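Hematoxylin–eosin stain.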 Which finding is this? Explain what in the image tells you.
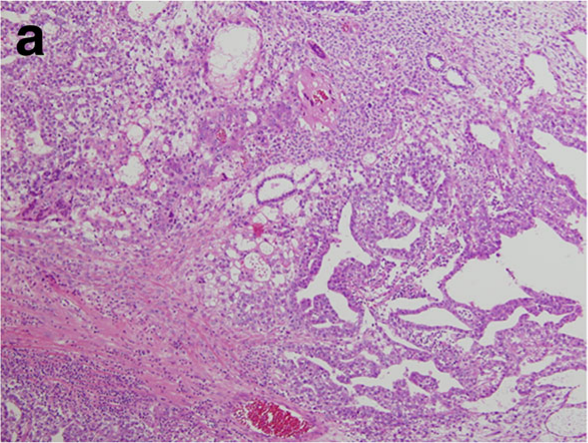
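Crowded epithelial tumor cells line irregular branching clefts and papillary spaces. A loose meshwork of small vacuoles and cysts fills the upper left. A pink fibrous band runs along the lower left.
Embryonal carcinoma and yolk sac tumor.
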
